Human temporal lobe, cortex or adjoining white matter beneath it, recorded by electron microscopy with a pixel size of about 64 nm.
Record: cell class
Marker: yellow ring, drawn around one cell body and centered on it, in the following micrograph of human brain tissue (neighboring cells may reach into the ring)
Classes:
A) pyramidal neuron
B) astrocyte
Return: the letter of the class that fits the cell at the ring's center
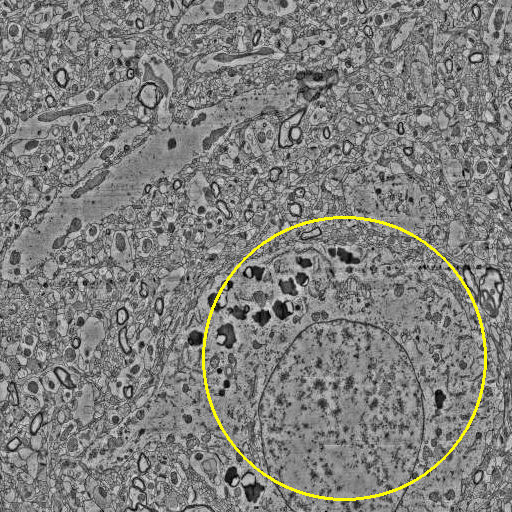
A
